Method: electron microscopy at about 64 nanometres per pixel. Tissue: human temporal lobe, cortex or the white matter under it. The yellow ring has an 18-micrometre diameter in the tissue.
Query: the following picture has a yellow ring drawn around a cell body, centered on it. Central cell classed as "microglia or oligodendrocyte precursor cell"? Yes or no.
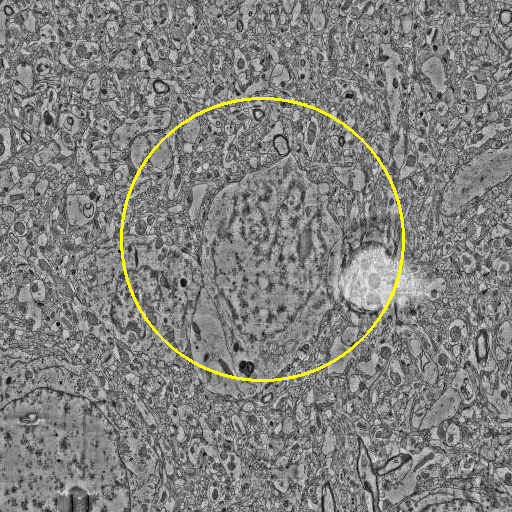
no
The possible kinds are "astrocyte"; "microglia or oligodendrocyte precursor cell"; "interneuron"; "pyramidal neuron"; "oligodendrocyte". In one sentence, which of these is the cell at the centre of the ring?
The cell at the middle of the ring is an interneuron.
